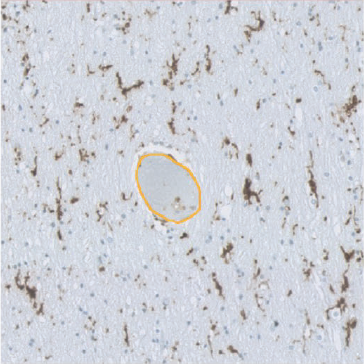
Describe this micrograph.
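This is brain tissue with brown-stained microglia scattered through a pale blue-grey background. The brown cells are small with thin, branching processes, and some appear more densely stained and bushier than others. Near the centre lies a cross-sectioned blood vessel outlined in orange, its lumen pale. Small blue nuclei of the counterstain dot the surrounding tissue.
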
